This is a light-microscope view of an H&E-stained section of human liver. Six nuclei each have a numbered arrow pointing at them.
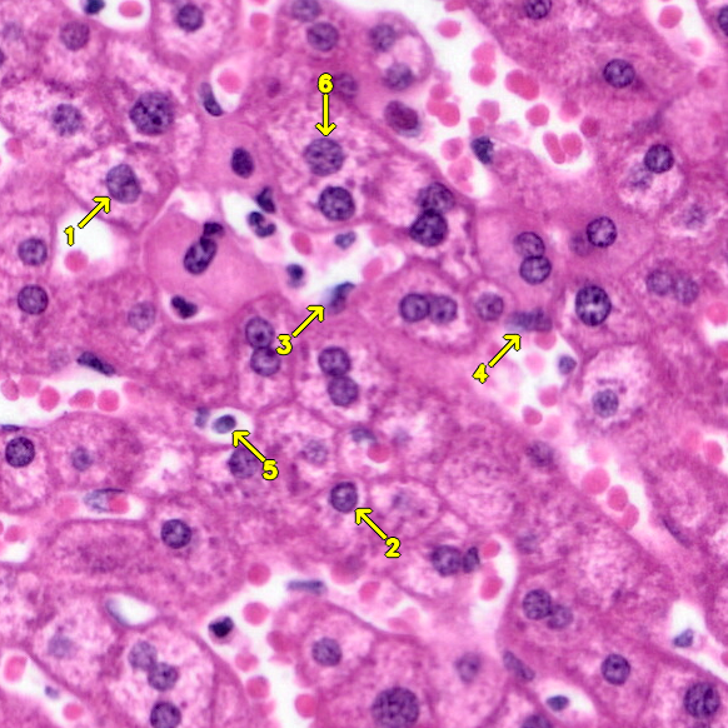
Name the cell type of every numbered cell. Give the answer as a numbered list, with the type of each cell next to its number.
1. hepatocyte
2. hepatocyte
3. endothelial cell
4. endothelial cell
5. lymphocyte
6. hepatocyte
